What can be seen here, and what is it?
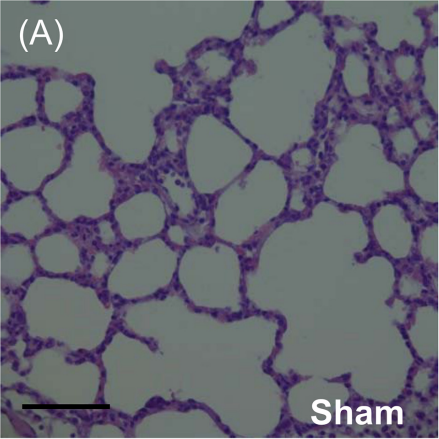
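This is lung tissue with a lacy network of thin alveolar walls surrounding large, open air spaces. The walls are mostly one or two cells thick and stain pink, with scattered flattened and rounded purple nuclei along them. The air spaces are broad and clear, varying in size and shape, and separated by slender walls. Where walls meet, small clusters of nuclei are seen, but there are no dense sheets of cells filling the spaces.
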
